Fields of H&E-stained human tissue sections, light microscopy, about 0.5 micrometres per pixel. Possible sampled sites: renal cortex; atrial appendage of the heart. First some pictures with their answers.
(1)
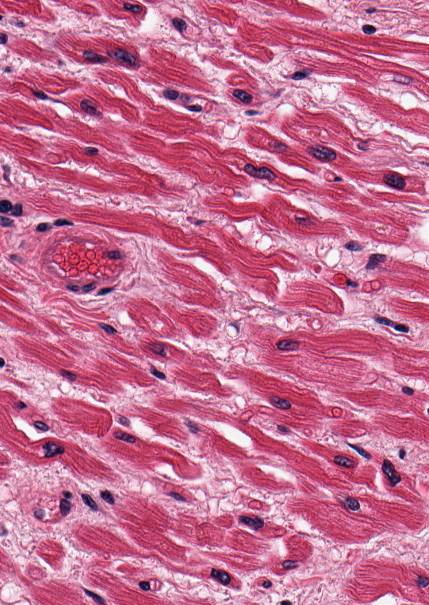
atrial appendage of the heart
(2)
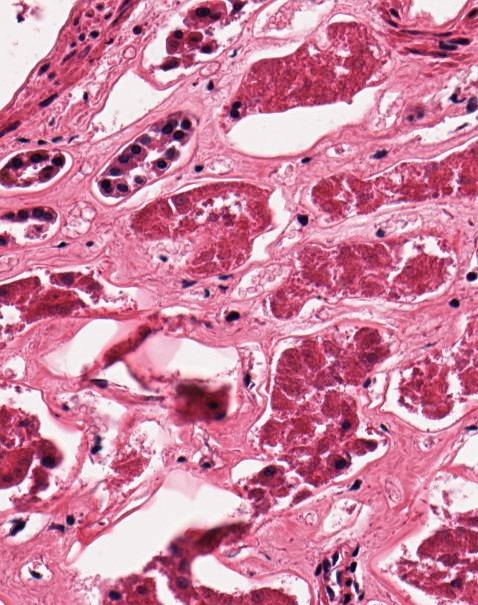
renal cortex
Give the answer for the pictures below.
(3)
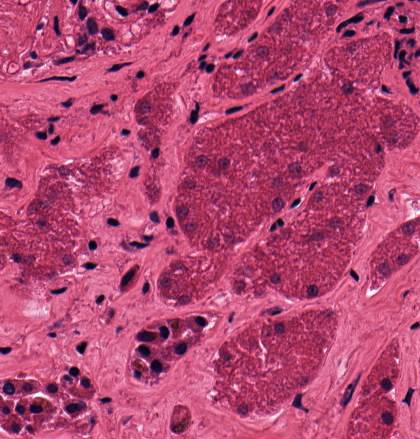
renal cortex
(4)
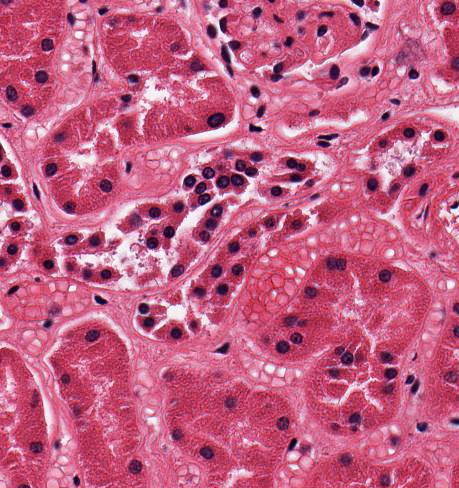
renal cortex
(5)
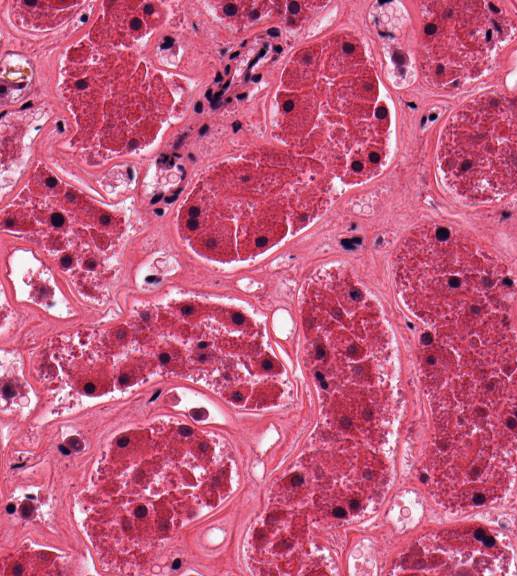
renal cortex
